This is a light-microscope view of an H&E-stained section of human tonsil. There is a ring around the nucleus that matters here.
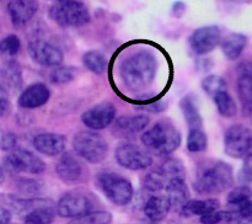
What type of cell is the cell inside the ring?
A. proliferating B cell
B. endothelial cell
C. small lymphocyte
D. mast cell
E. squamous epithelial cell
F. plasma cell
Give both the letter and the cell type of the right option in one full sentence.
Among the choices, option A is correct, the cell inside the ring being a proliferating B cell.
